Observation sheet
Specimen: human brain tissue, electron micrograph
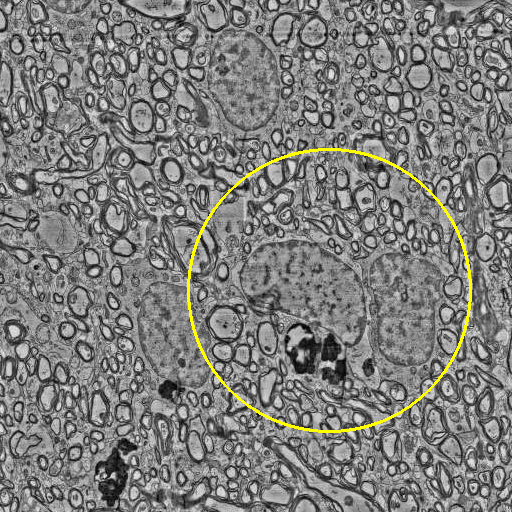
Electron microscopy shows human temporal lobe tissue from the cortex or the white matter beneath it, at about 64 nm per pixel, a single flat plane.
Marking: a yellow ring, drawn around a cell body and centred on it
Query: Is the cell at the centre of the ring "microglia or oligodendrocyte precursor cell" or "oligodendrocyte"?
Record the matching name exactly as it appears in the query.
microglia or oligodendrocyte precursor cell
